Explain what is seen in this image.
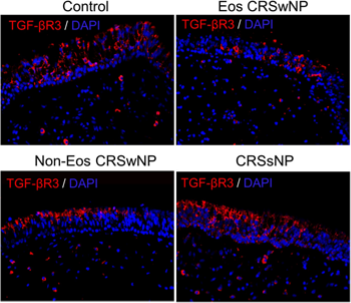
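Four fields of nasal mucosa are shown, each with a surface layer of epithelial cells above looser underlying tissue. In each field the epithelium appears as a continuous band of tightly packed blue nuclei lying several nuclei deep. Below this band the tissue is less crowded, with scattered blue nuclei separated by dark spaces. Red staining is dotted and granular and lies mainly within the epithelial band, with fewer red spots in the deeper tissue. The amount of red in the epithelial layer differs between the four fields.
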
